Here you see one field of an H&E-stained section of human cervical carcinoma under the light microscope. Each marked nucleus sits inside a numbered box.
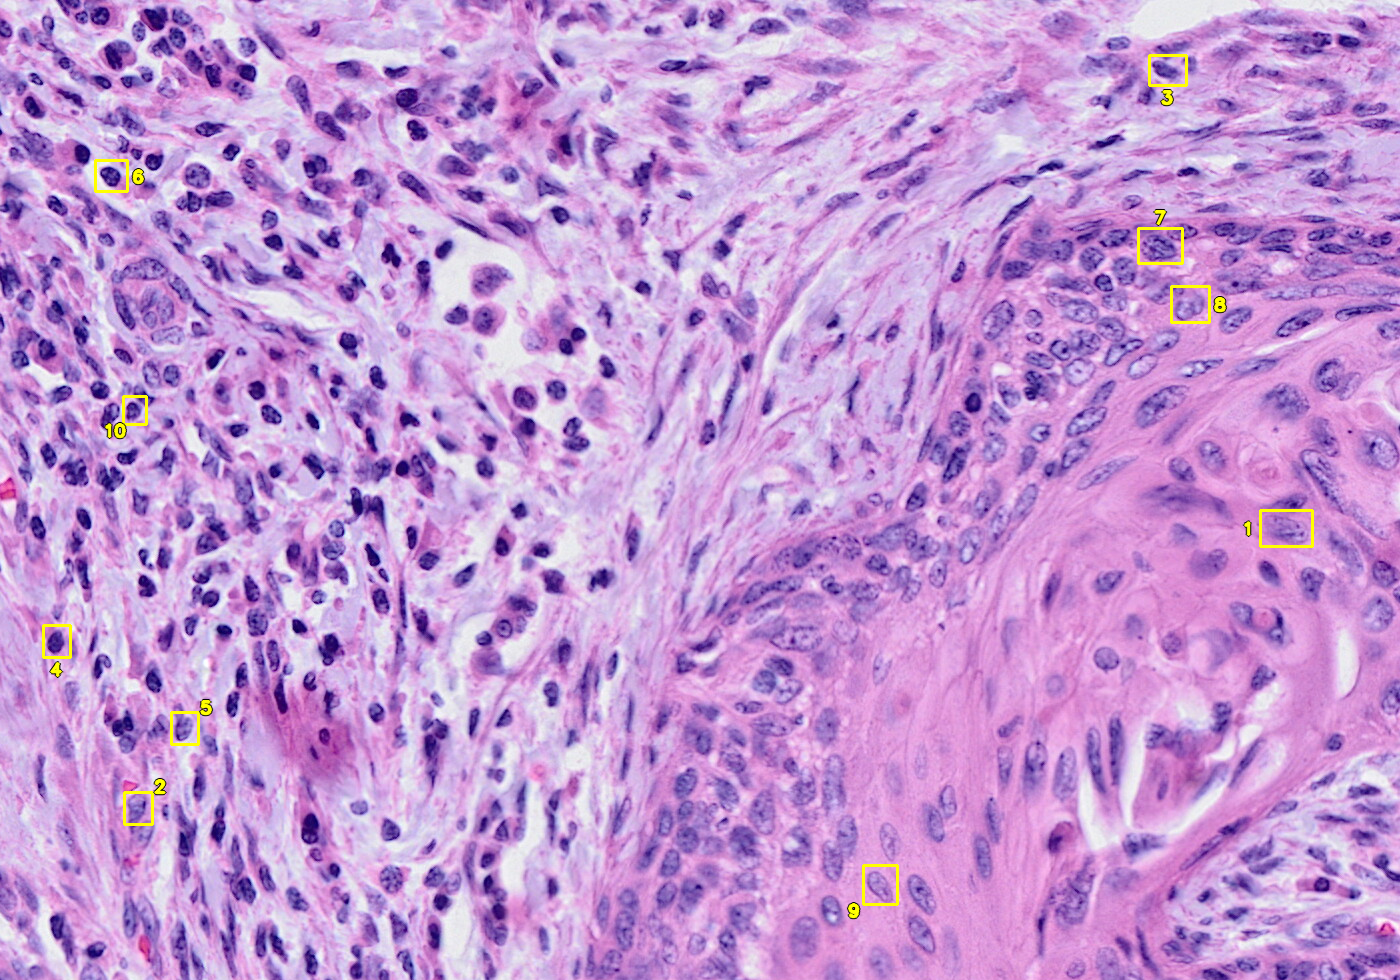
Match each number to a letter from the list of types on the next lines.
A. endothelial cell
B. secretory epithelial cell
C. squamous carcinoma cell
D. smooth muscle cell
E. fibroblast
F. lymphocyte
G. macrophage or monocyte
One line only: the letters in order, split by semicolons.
C; A; F; F; F; F; C; C; C; F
